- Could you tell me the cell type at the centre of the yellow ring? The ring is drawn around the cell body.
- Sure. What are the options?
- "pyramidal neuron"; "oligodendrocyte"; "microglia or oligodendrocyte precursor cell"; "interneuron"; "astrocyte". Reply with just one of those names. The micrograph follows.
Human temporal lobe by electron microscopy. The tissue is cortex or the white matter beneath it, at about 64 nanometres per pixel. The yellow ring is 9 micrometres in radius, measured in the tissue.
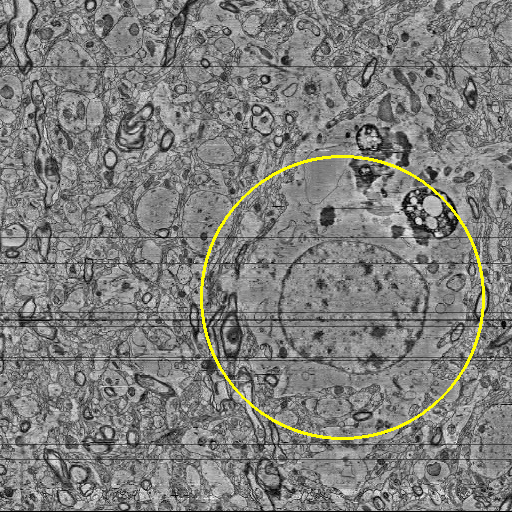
astrocyte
